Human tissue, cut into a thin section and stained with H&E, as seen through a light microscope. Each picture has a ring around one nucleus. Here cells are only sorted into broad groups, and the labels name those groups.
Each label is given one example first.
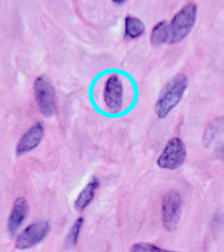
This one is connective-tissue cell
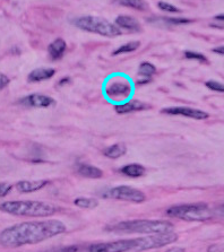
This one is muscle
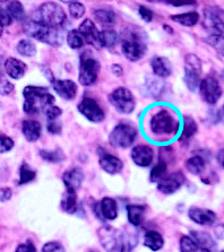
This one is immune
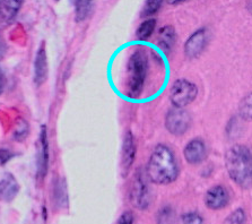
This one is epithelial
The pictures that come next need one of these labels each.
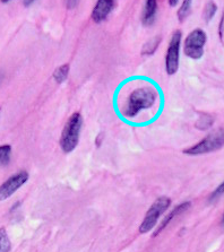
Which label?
connective-tissue cell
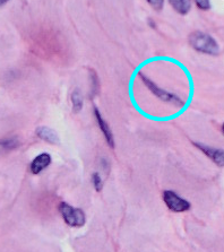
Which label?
connective-tissue cell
